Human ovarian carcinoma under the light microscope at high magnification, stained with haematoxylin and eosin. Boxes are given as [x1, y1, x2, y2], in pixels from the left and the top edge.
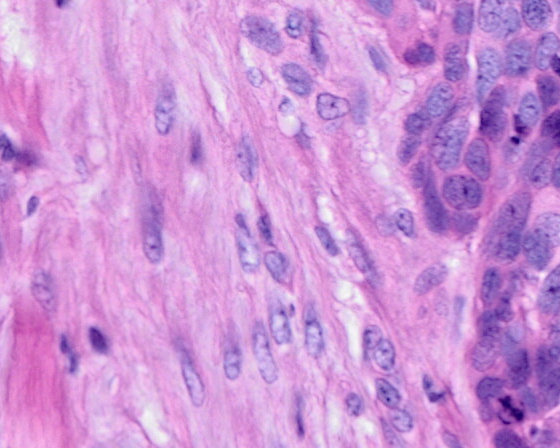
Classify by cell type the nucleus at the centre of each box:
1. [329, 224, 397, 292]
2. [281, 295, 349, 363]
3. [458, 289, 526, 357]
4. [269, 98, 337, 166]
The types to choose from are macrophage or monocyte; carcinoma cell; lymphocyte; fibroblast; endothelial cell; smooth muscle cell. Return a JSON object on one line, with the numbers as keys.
{"1": "fibroblast", "2": "fibroblast", "3": "carcinoma cell", "4": "fibroblast"}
